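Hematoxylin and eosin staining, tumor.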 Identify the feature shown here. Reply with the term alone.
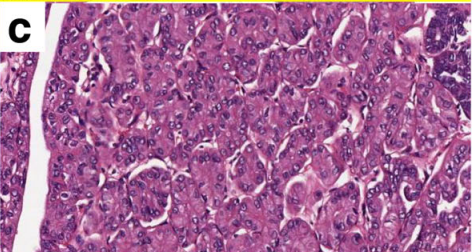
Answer: Acinar fashion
